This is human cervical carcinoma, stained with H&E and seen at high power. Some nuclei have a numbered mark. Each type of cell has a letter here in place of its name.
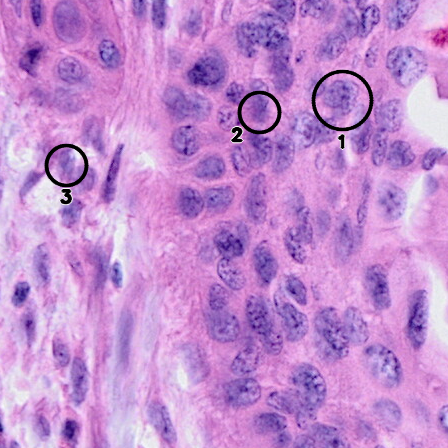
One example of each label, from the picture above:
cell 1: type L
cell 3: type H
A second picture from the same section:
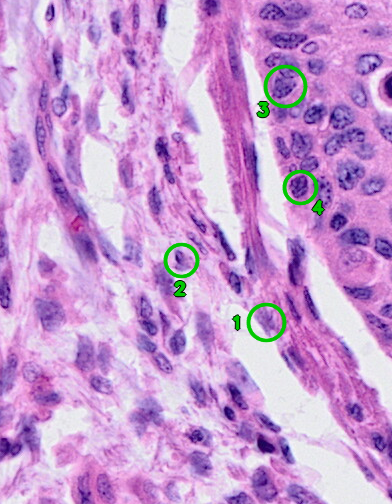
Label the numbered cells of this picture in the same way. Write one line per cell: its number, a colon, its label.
1: type H
2: type H
3: type L
4: type L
